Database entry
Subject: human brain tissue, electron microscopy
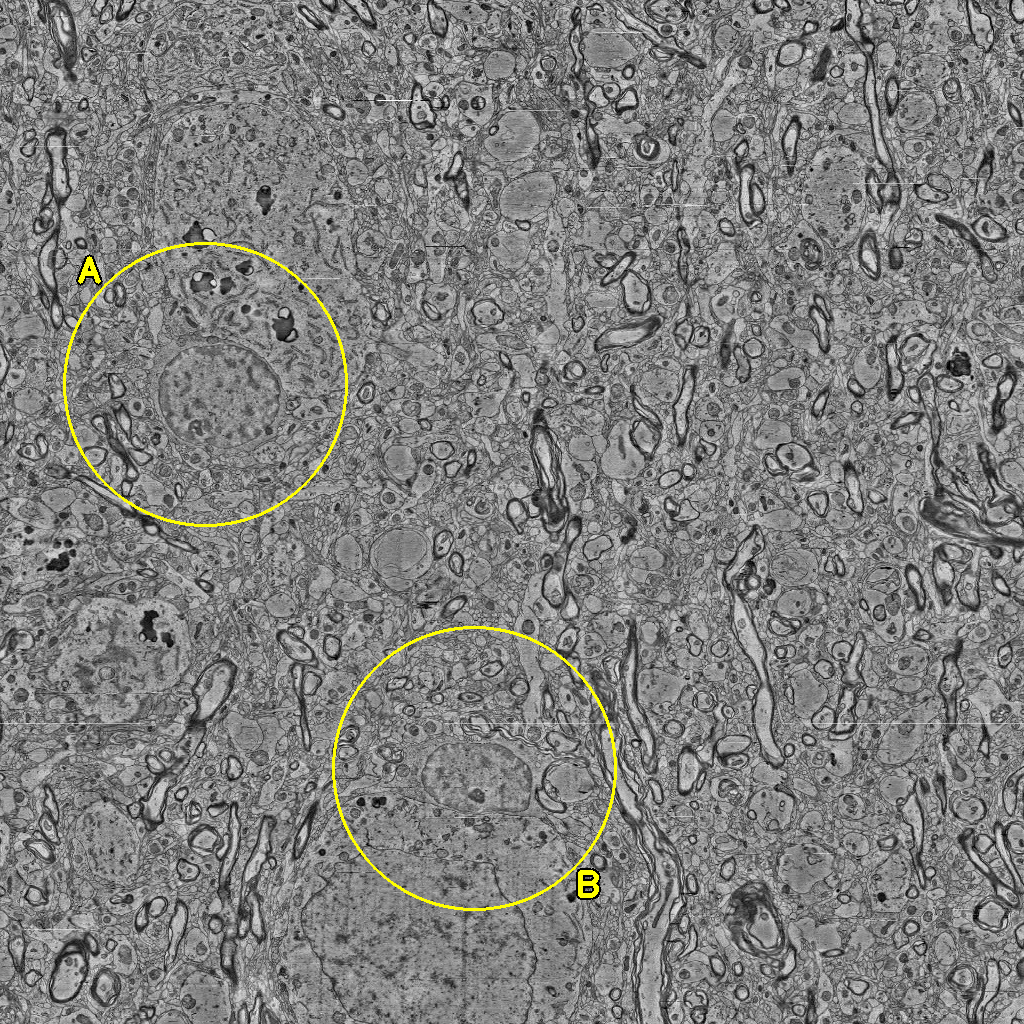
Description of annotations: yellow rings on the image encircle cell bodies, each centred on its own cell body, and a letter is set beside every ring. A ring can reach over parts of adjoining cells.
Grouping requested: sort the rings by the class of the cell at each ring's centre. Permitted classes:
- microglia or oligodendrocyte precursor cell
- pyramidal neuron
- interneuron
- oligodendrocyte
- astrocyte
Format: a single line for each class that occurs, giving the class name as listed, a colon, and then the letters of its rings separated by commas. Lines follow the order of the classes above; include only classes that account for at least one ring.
oligodendrocyte: A, B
